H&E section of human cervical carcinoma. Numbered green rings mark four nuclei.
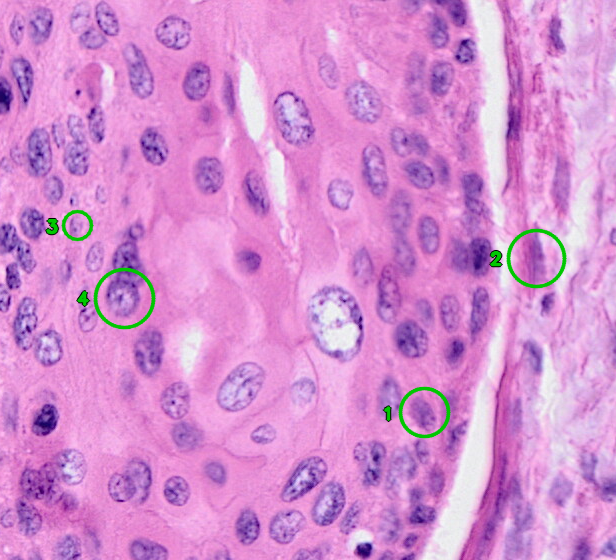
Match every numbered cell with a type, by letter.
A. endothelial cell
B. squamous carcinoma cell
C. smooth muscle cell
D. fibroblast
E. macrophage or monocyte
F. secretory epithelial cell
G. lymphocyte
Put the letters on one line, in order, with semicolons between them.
B; D; B; B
